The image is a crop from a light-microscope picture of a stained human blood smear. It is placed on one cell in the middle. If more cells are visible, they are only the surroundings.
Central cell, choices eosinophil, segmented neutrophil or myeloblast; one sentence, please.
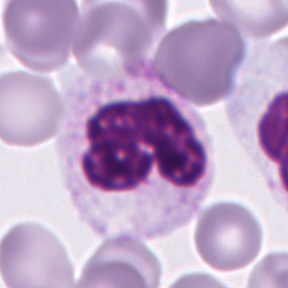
In the central position of this crop, the cell is a segmented neutrophil.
